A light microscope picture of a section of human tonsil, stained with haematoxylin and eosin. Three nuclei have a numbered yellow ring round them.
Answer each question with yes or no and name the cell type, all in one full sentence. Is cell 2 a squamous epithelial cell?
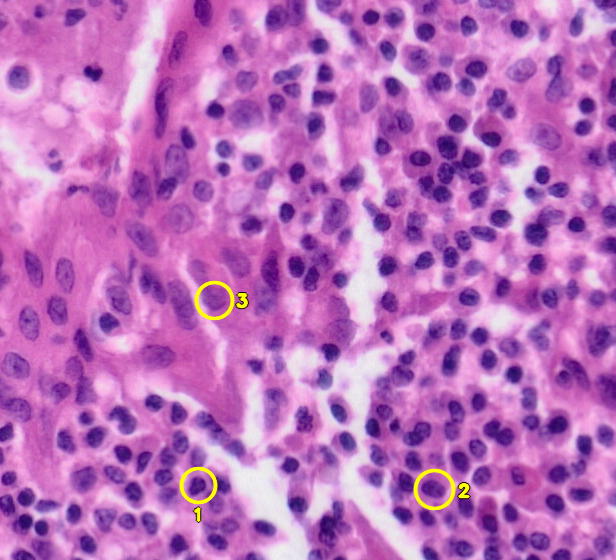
No, the cell given number 2 is a plasma cell, not a squamous epithelial cell.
